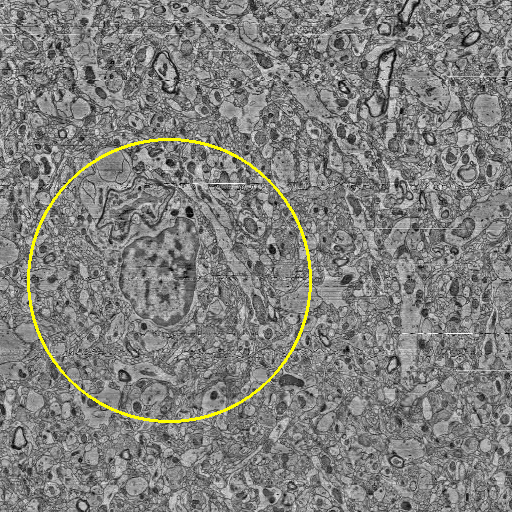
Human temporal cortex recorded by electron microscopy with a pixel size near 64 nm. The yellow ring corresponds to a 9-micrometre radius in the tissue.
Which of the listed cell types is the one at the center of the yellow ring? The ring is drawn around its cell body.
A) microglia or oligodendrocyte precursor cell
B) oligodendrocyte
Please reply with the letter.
A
